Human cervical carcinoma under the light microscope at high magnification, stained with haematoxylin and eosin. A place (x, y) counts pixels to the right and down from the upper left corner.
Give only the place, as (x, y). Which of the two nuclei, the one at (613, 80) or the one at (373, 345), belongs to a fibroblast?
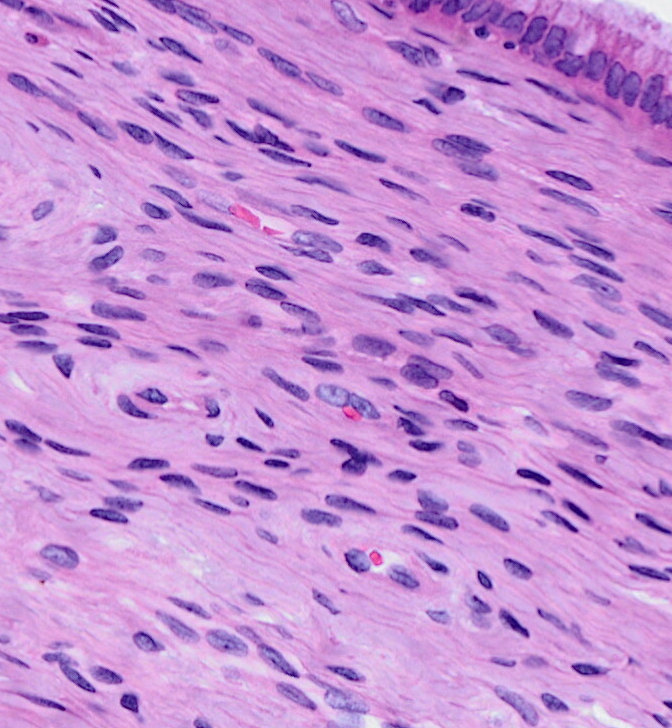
(373, 345)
